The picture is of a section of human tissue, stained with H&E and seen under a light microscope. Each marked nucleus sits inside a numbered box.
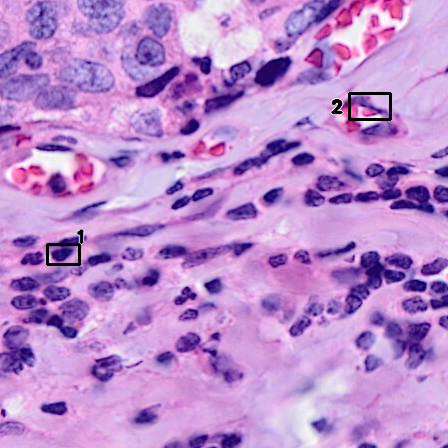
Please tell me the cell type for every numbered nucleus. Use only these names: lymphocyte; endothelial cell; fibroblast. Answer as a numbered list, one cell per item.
1. lymphocyte
2. endothelial cell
